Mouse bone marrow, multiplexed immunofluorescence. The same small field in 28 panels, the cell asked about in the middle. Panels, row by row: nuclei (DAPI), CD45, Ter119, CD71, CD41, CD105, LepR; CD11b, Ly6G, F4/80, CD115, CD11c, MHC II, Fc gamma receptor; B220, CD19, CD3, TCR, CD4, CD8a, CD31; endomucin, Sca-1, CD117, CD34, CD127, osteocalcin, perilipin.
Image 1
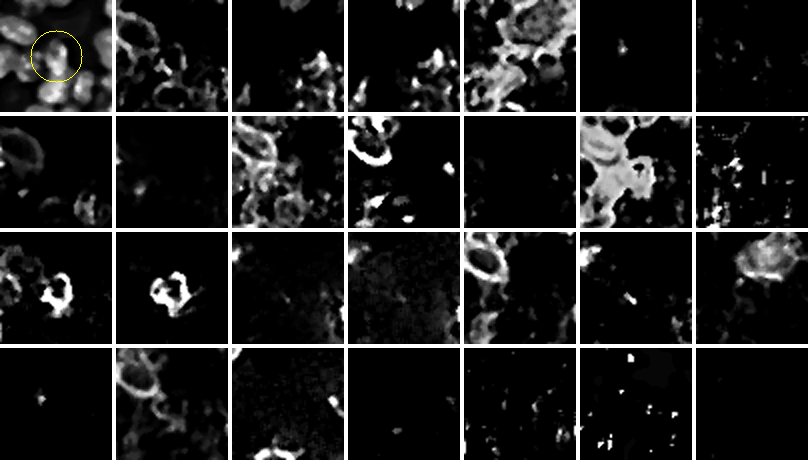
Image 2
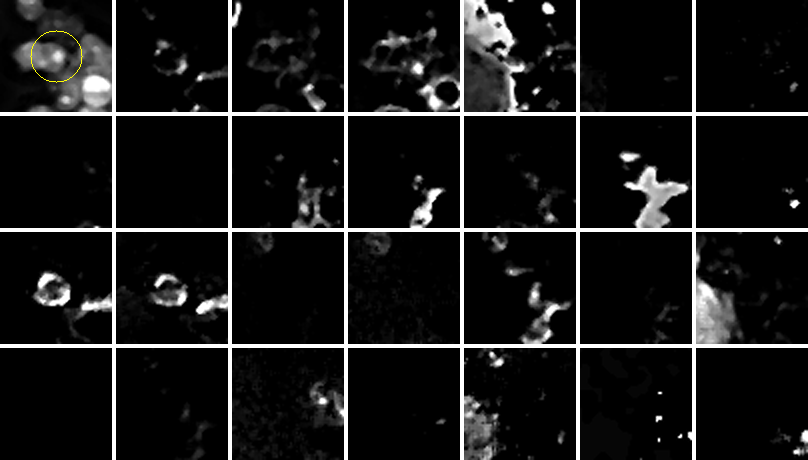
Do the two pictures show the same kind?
Yes, both are B cells.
